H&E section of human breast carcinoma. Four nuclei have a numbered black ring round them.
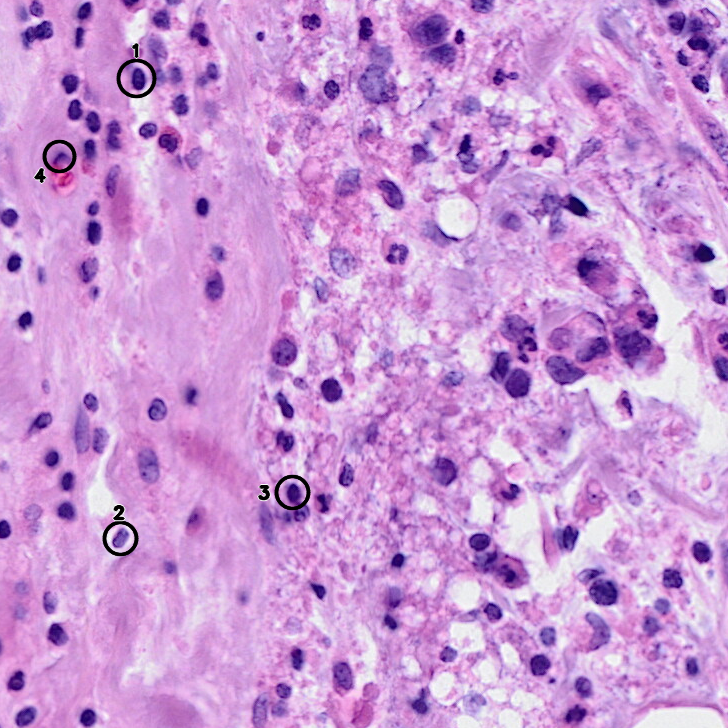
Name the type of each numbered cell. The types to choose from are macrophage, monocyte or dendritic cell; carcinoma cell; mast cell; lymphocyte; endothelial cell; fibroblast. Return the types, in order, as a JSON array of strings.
["lymphocyte", "lymphocyte", "lymphocyte", "endothelial cell"]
